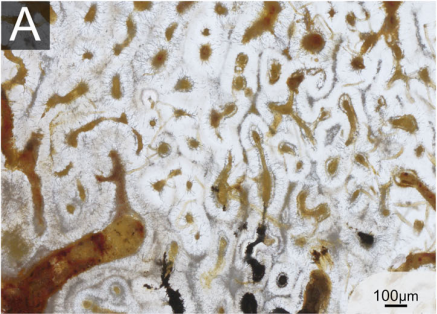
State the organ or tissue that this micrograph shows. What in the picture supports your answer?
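Many small canals filled with brown material set in pale hard tissue. The pale tissue forms rings and trabeculae around the canals. On this evidence: Trabecular dentine.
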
